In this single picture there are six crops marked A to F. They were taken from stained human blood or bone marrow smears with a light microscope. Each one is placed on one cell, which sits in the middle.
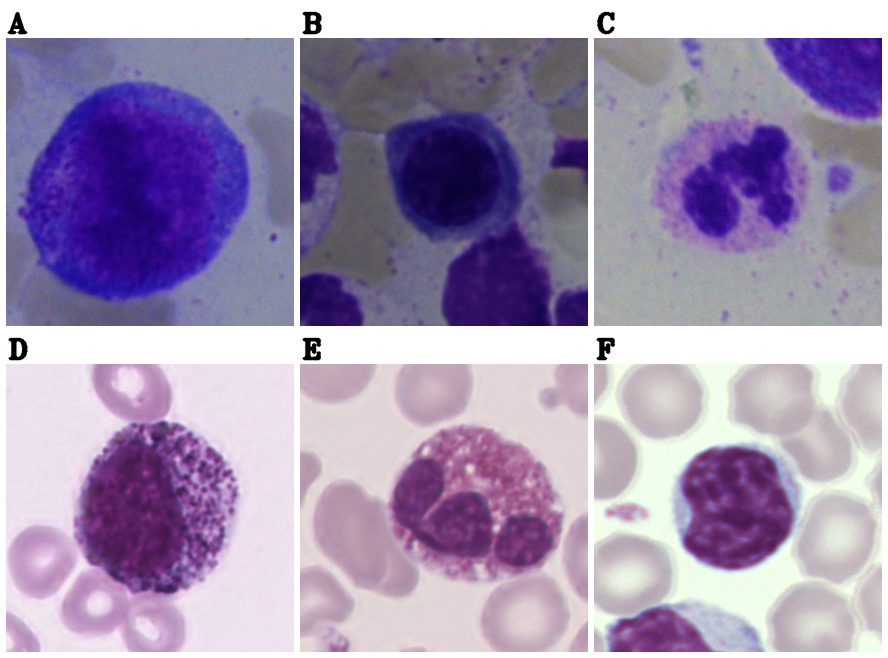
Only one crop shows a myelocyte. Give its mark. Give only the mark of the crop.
D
